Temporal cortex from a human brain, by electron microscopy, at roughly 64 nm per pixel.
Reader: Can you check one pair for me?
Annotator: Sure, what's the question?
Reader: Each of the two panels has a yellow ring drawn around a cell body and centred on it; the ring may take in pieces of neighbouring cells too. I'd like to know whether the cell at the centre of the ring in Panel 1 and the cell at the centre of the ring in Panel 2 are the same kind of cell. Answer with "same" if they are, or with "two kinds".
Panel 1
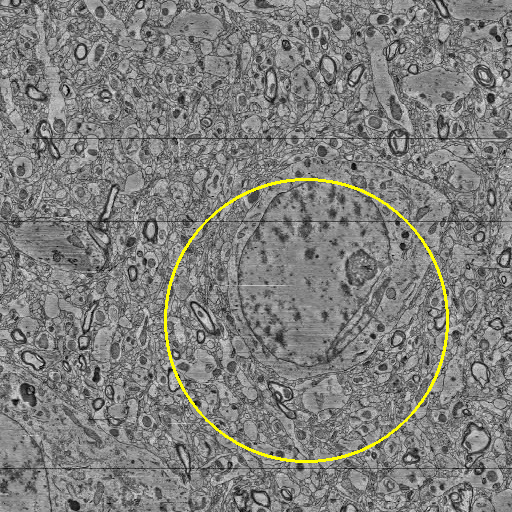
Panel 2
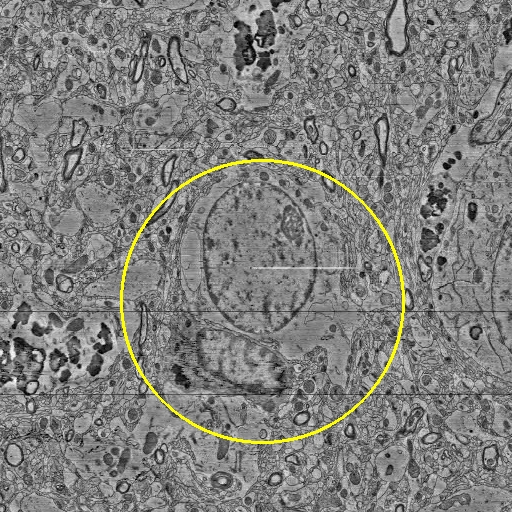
two kinds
